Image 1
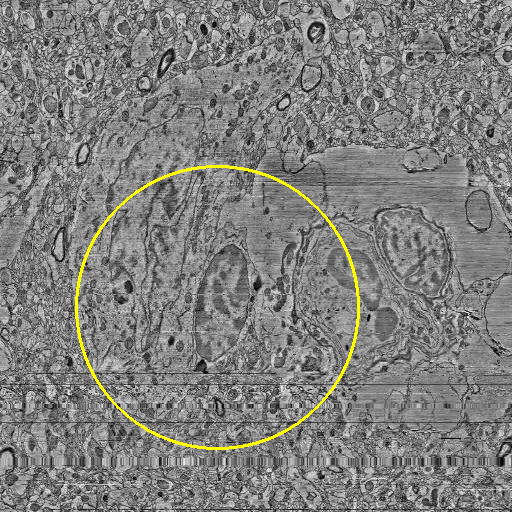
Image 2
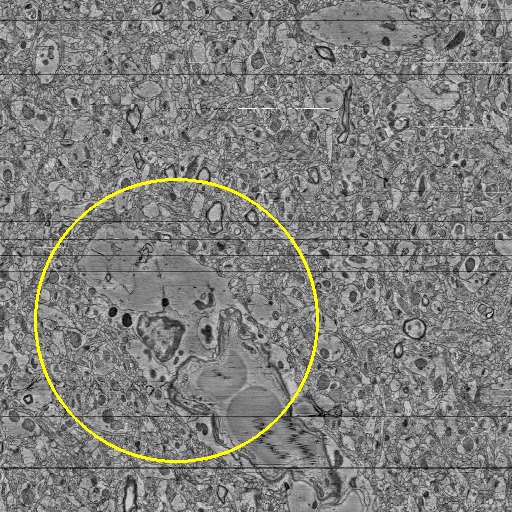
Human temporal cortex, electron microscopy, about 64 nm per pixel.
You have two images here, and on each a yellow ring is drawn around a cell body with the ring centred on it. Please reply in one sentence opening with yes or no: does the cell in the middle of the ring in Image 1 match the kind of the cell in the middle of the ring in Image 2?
Yes, the two images show cells of one kind at the centres of their rings.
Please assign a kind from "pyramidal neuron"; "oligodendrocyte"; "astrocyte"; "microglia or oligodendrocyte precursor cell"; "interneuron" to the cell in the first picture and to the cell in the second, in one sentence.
Each cell at the centre of a ring is a microglial cell or oligodendrocyte precursor cell.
